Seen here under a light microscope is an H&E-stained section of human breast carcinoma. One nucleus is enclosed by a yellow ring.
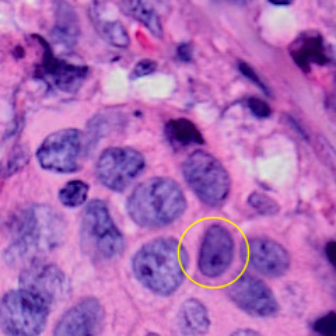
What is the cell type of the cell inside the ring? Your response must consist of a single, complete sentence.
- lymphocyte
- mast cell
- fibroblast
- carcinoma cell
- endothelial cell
As classified here, the cell inside the ring is a carcinoma cell.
